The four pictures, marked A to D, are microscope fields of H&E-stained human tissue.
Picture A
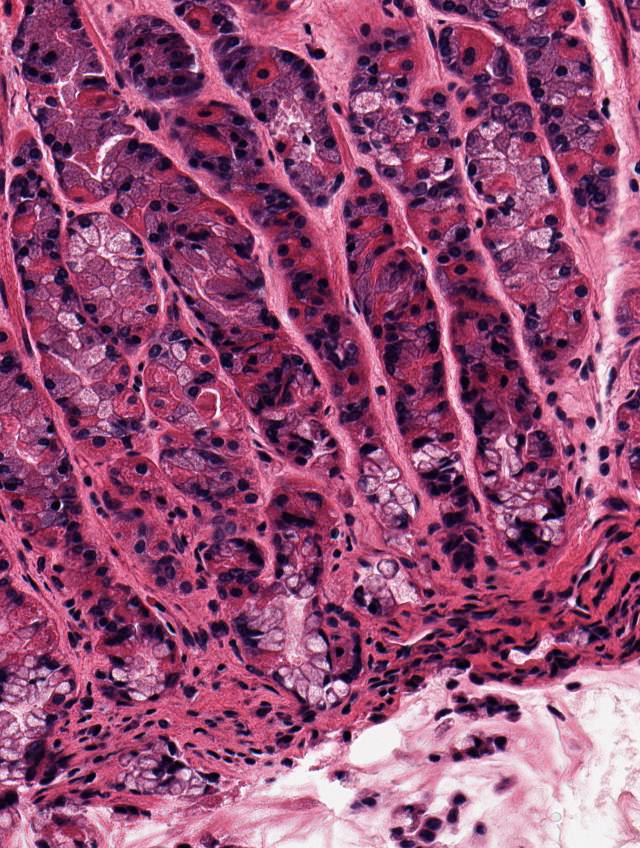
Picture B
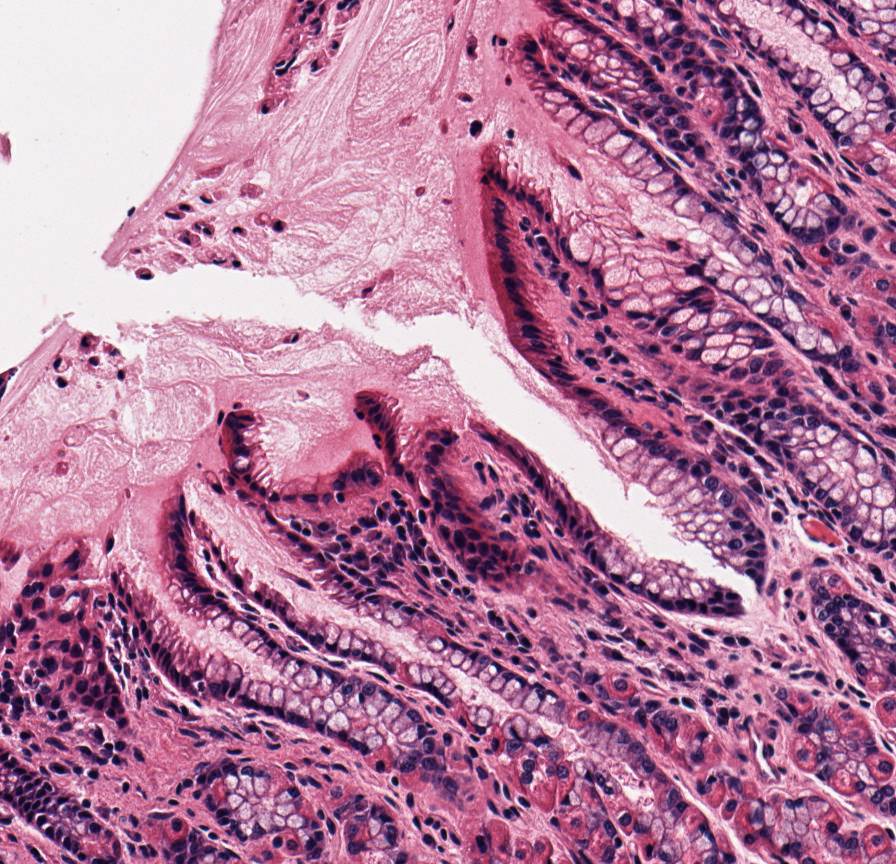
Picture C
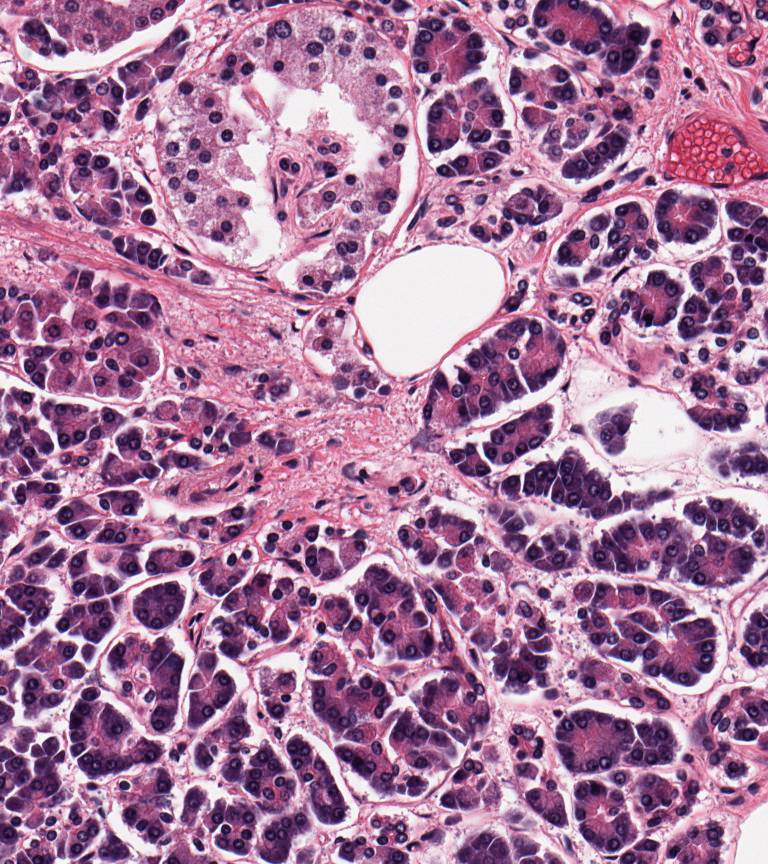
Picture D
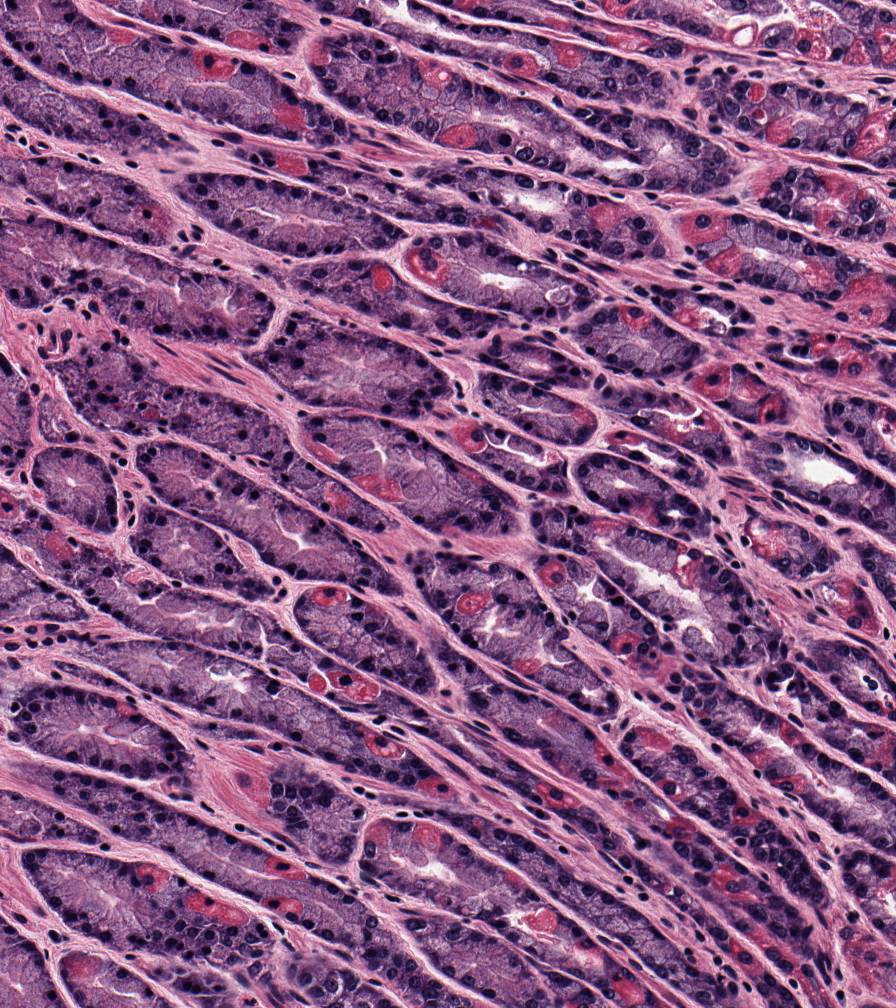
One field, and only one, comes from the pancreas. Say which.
C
